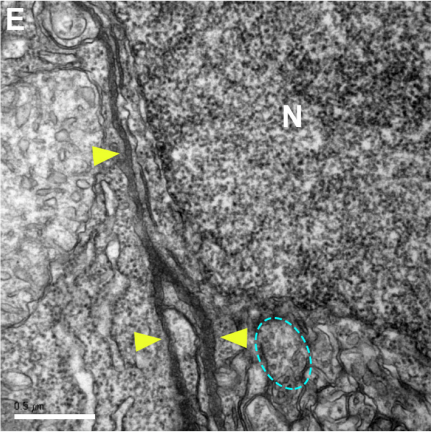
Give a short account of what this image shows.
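To the right lies a large nucleus with finely granular chromatin. Below and to the right is neuropil made of many small, tightly packed membrane-bound profiles; one encircled profile is an axon holding clustered small round synaptic vesicles. To the left lie cells with pale, finely granular cytoplasm and scattered membranes.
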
